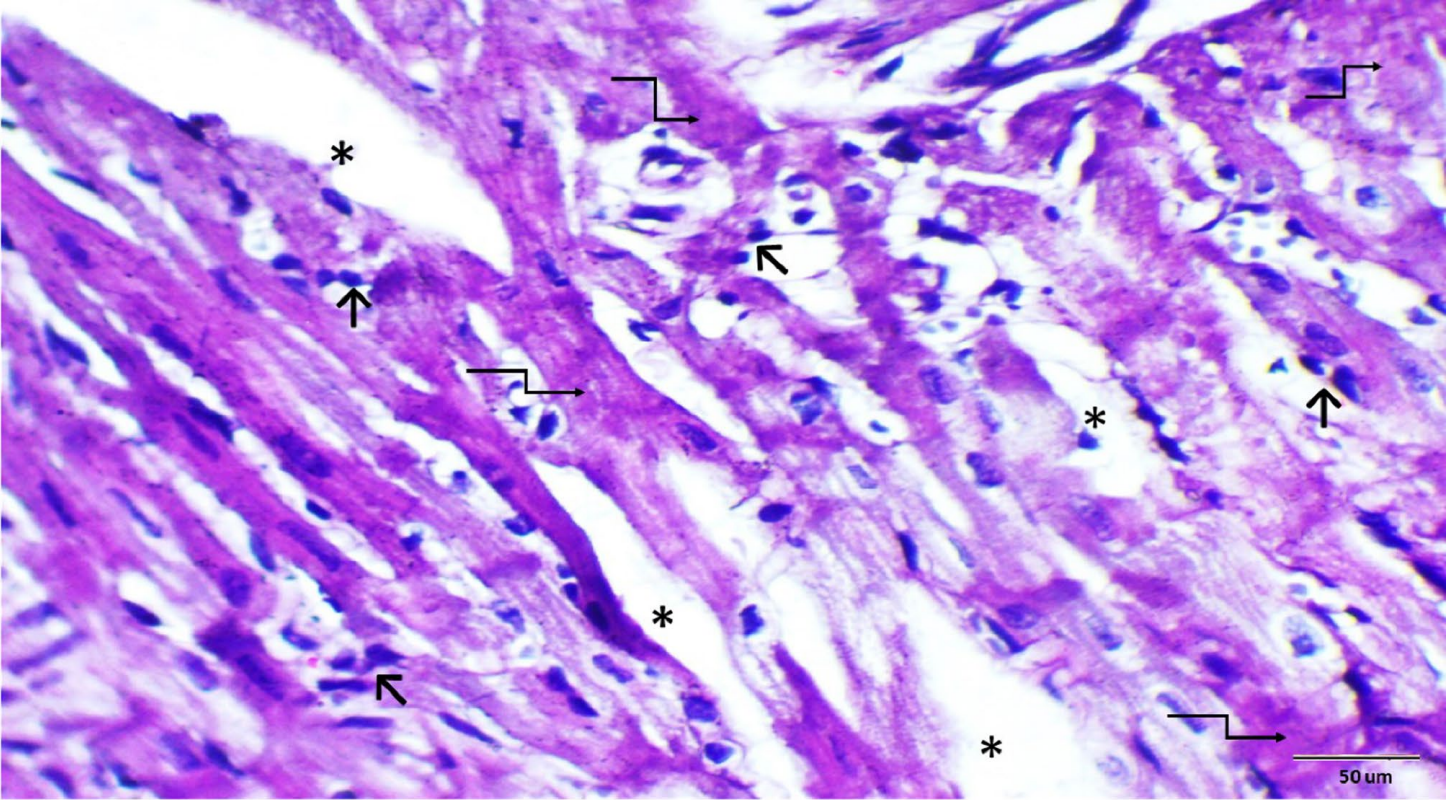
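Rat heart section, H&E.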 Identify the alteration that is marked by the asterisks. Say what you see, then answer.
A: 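Large unstained white gaps lie between the pink muscle fibers at the asterisks. The fibers on either side of the gaps are pushed apart rather than lying close together. So: widened spaces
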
